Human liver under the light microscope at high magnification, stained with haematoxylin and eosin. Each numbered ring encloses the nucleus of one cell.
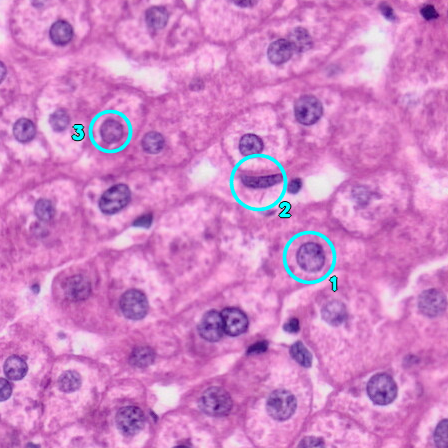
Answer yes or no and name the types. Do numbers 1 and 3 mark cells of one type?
Yes, sure, cells 1 and 3 are both hepatocytes.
